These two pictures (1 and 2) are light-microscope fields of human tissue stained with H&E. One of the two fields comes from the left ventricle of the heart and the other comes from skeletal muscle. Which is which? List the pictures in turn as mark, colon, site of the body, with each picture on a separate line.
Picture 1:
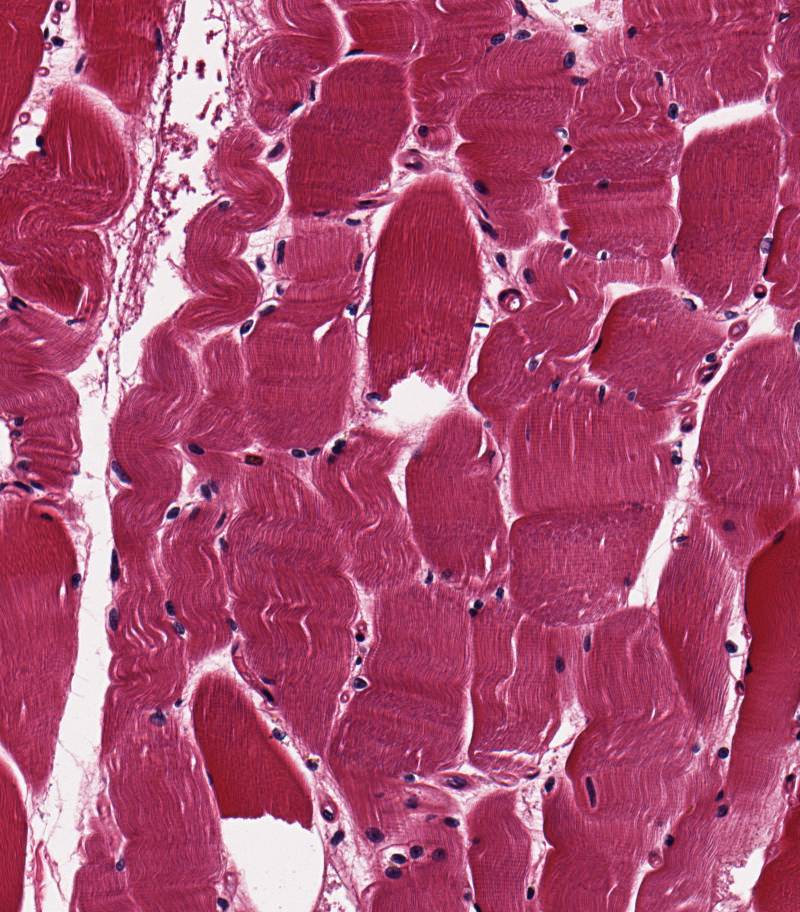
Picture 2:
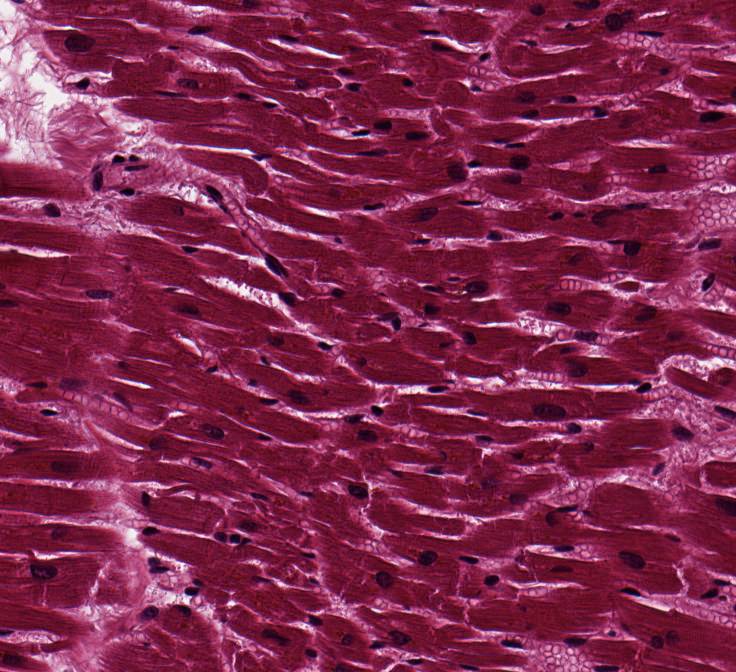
1: skeletal muscle
2: left ventricle of the heart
